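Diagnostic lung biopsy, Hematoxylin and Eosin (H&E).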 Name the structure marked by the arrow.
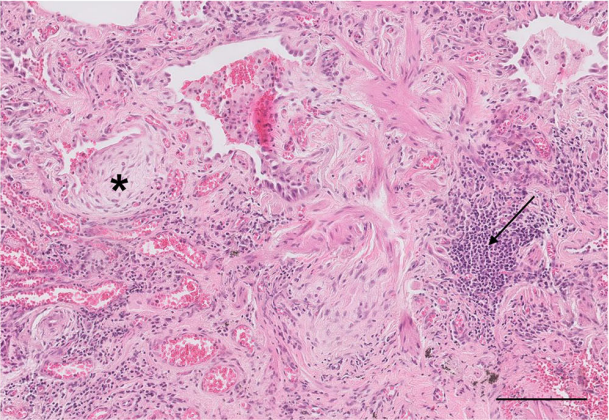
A: Lymphocyte aggregates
